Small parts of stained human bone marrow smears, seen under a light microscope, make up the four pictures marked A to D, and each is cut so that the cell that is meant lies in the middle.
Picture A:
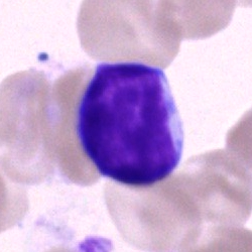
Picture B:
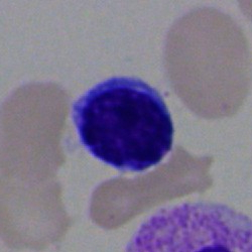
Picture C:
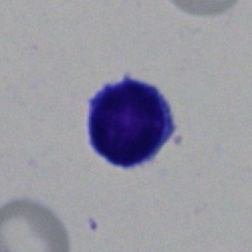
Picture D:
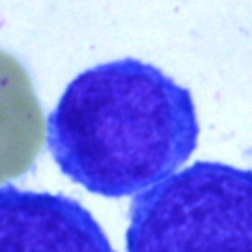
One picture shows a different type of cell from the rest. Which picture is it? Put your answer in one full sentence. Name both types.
The different one is picture D; it shows a blast, whereas all the others show lymphocytes.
